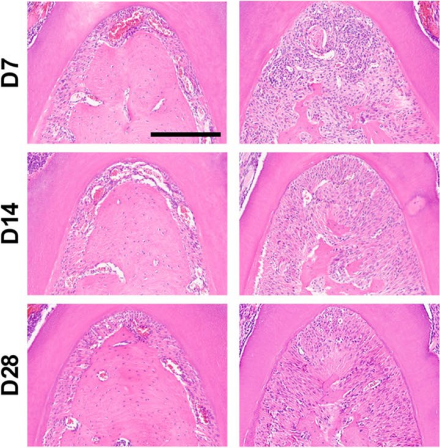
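This shows the bone in the furcation between the tooth roots in pink-stained sections. In the left-hand images the furcation is filled by a broad dome of pale pink bone. Osteocytes lie scattered in small lacunae within it, and only a thin cellular layer covers the top. In the right-hand images most of this bone is gone. The space is taken up by dense, cellular soft tissue with many purple nuclei and small vessels, and only small remnants of pink bone are left toward the base. The surrounding root dentin, by contrast, looks intact.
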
